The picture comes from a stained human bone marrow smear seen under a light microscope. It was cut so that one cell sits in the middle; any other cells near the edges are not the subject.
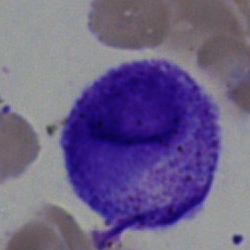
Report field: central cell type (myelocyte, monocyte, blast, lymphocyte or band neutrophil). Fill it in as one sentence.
The middle of this crop holds a myelocyte.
